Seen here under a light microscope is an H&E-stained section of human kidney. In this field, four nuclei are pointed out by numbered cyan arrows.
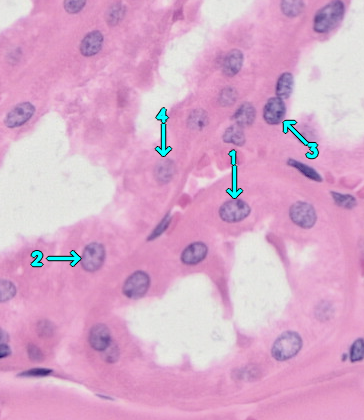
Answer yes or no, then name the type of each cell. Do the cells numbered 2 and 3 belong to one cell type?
No, cell 2 is a proximal tubule cell and cell 3 is a loop of Henle or distal tubule cell.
